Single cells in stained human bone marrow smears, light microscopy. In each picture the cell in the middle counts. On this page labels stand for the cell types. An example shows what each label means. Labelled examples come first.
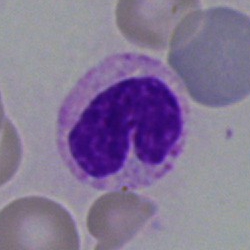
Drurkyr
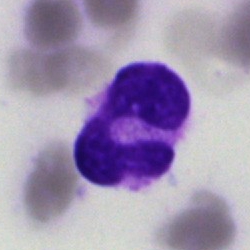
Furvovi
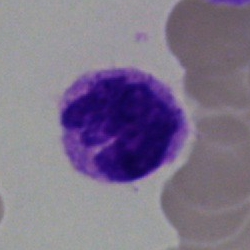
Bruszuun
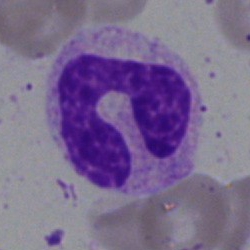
Furvovi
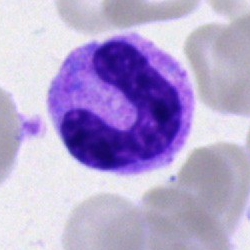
Drurkyr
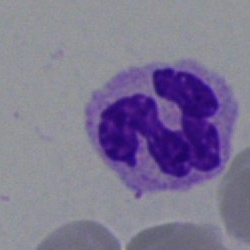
Furvovi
